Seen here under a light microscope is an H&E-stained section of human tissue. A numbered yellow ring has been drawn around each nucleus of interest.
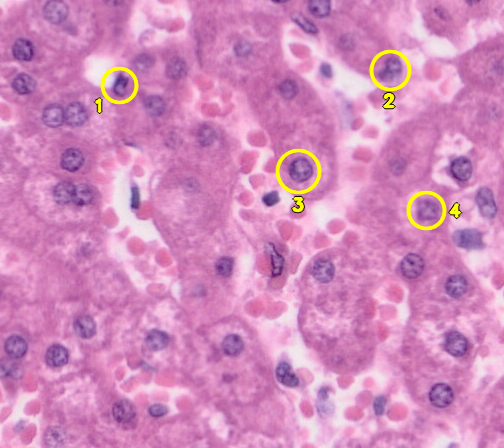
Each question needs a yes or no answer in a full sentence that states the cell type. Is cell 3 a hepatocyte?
Yes, the cell corresponding to number 3 is a hepatocyte.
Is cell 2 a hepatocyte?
No, cell 2 does not represent a hepatocyte; it represents a fibroblast or stellate cell.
